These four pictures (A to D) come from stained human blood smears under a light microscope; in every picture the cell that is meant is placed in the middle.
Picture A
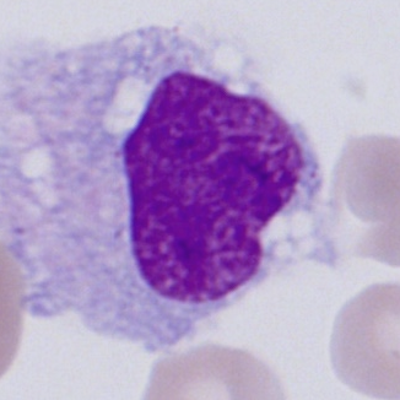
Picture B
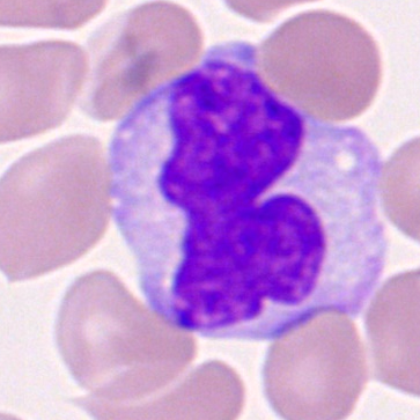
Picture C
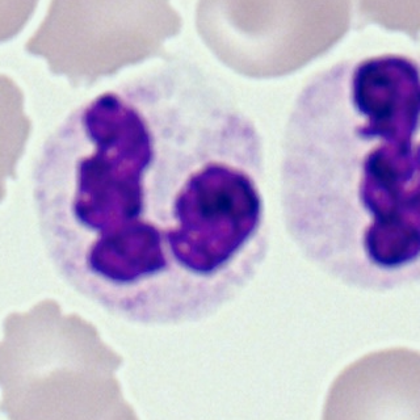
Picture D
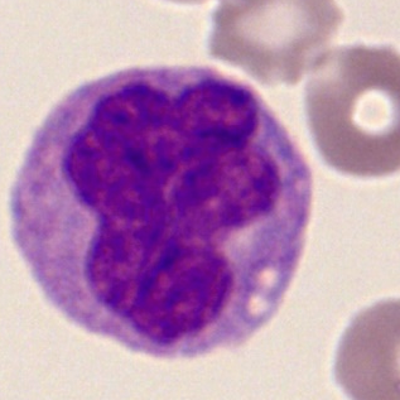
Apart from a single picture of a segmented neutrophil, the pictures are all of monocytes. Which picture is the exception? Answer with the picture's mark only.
C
